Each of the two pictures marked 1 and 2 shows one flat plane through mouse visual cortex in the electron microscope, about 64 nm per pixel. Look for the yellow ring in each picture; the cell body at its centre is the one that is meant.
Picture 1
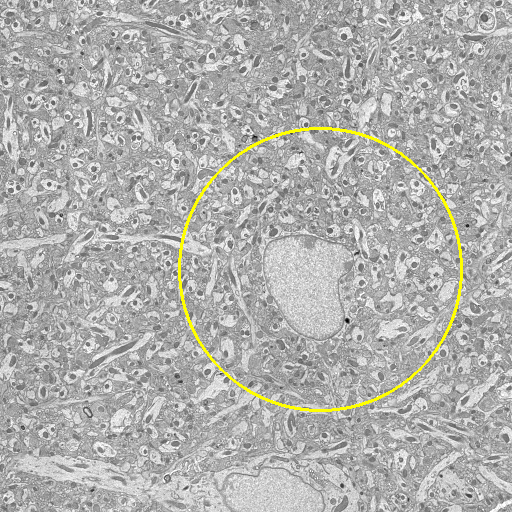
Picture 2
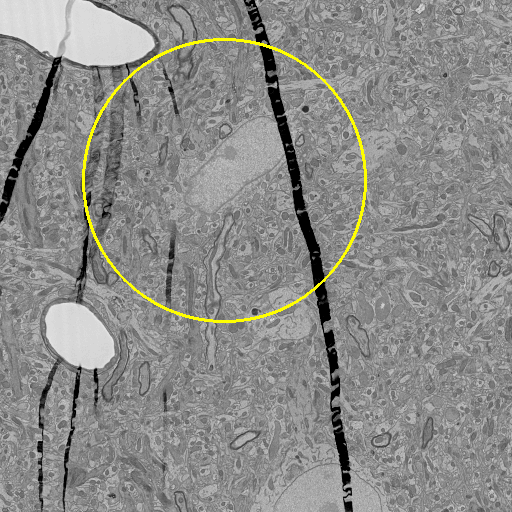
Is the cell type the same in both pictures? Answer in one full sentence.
Yes; the cells in both pictures are astrocytes.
